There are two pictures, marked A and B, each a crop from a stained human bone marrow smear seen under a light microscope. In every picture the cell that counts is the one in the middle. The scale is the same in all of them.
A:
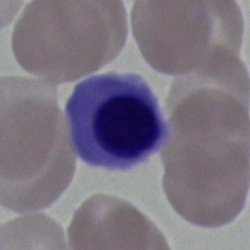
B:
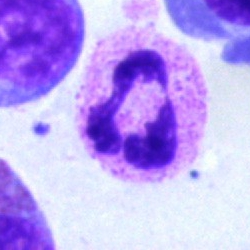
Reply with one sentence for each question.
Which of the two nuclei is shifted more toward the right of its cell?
It is the nucleus in crop A that lies further toward the right of its cell.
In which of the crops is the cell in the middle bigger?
Larger is the cell in crop B, at roughly 2 times the area of the other.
